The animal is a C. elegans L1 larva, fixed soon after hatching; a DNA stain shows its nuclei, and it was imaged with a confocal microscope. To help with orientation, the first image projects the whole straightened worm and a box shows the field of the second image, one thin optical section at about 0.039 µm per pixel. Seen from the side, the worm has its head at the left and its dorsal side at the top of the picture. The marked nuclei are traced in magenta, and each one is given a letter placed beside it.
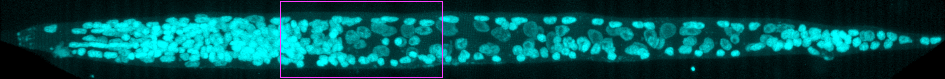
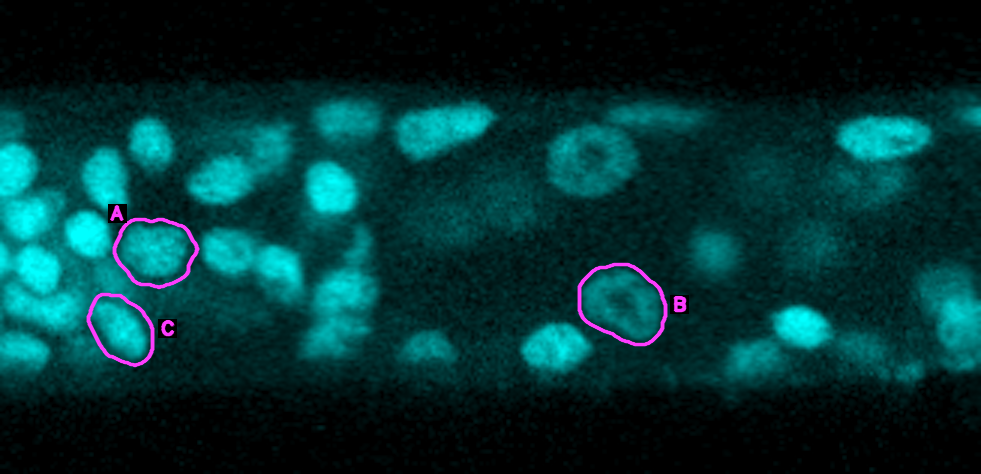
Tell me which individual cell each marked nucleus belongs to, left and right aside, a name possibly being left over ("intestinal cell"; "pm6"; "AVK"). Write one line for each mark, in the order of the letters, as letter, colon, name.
A: pm6
B: intestinal cell
C: AVK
